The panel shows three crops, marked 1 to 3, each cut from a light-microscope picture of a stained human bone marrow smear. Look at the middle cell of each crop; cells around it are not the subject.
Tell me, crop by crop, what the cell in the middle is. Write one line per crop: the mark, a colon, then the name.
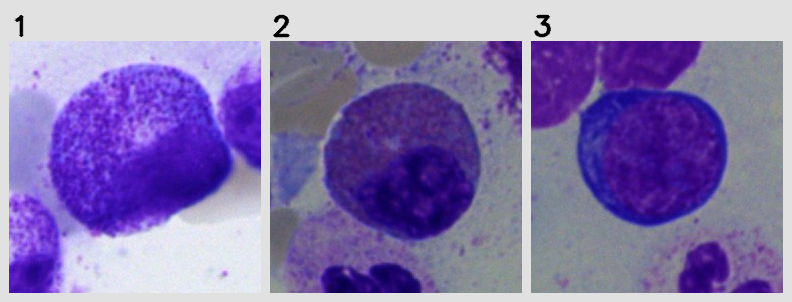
1: promyelocyte
2: eosinophil
3: proerythroblast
